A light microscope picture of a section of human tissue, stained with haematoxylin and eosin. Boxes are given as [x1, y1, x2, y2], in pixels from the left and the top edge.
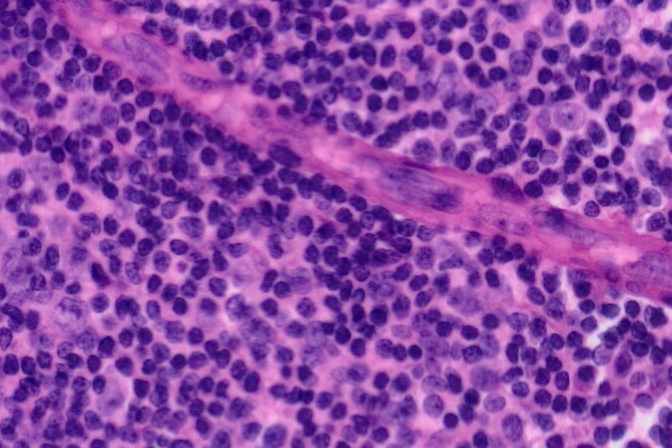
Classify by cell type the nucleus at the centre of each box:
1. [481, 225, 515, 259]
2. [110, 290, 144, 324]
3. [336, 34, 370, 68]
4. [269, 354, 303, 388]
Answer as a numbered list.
1. endothelial cell
2. small lymphocyte
3. small lymphocyte
4. small lymphocyte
